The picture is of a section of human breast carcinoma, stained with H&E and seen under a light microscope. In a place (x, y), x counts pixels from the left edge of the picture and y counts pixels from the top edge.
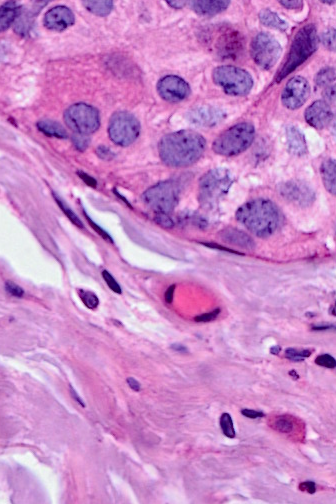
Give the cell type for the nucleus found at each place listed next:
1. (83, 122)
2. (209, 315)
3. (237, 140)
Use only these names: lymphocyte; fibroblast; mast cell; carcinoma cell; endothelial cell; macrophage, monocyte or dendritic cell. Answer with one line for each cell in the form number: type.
1: carcinoma cell
2: endothelial cell
3: carcinoma cell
